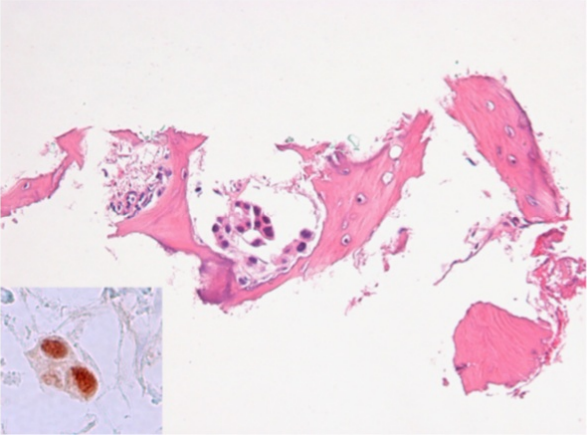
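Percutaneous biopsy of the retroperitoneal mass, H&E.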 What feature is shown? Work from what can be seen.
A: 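Small scattered lacunae containing nuclei lie within the pink matrix. The bands are separated by spaces containing loose tissue and cell clusters. So: lamellar bone trabeculae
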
